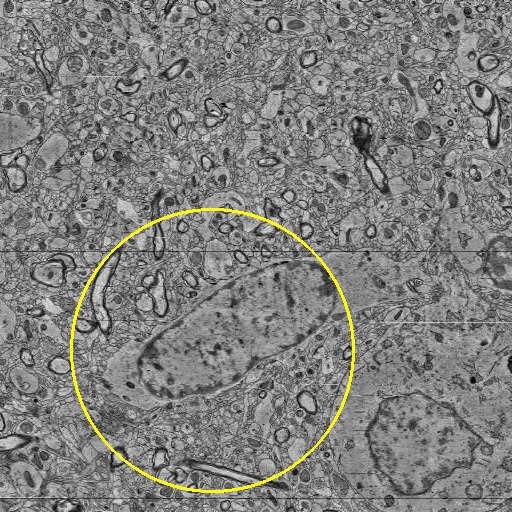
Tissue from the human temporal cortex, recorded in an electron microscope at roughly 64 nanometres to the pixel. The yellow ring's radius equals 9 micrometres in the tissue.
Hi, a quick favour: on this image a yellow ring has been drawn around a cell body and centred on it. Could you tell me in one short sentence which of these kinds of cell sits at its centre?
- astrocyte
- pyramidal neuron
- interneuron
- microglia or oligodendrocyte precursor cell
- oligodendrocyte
The ring is centred on a microglial cell or oligodendrocyte precursor cell.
